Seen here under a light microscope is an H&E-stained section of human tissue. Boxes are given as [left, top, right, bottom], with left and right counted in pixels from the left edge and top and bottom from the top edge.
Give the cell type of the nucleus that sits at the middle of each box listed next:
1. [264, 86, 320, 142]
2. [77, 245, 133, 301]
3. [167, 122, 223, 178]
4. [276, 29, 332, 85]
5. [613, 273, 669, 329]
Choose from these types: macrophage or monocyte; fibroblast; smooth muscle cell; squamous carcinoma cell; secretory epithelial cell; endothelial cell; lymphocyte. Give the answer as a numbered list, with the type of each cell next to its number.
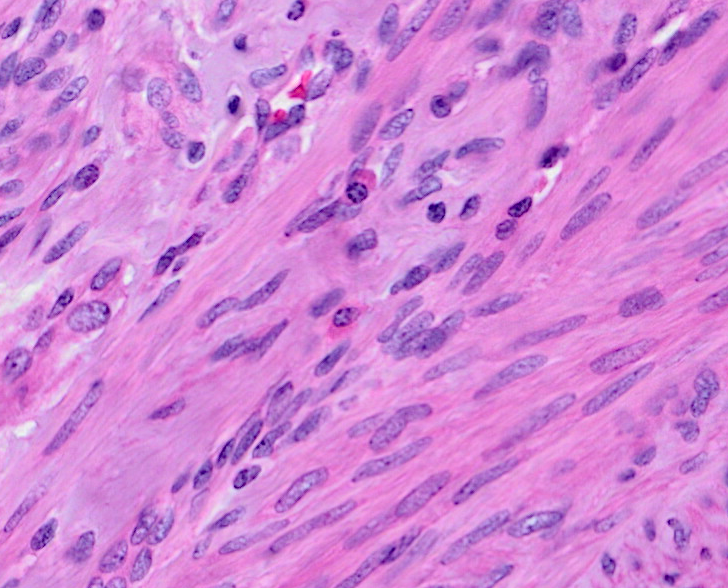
1. endothelial cell
2. endothelial cell
3. lymphocyte
4. endothelial cell
5. smooth muscle cell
